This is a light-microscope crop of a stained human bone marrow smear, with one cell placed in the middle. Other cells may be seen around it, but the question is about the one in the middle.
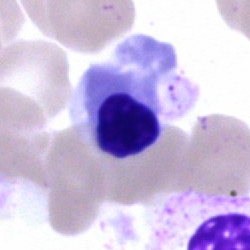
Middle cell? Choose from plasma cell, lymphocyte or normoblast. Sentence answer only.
The centrally placed cell is classified as a normoblast.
